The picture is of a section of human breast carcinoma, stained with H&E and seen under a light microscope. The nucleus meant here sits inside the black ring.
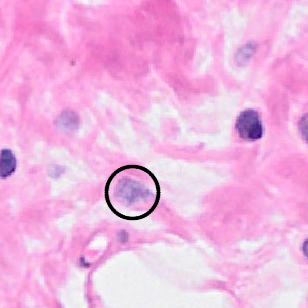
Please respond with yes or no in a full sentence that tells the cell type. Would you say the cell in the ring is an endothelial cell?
No, the cell in the ring is typed as a fibroblast rather than as an endothelial cell.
